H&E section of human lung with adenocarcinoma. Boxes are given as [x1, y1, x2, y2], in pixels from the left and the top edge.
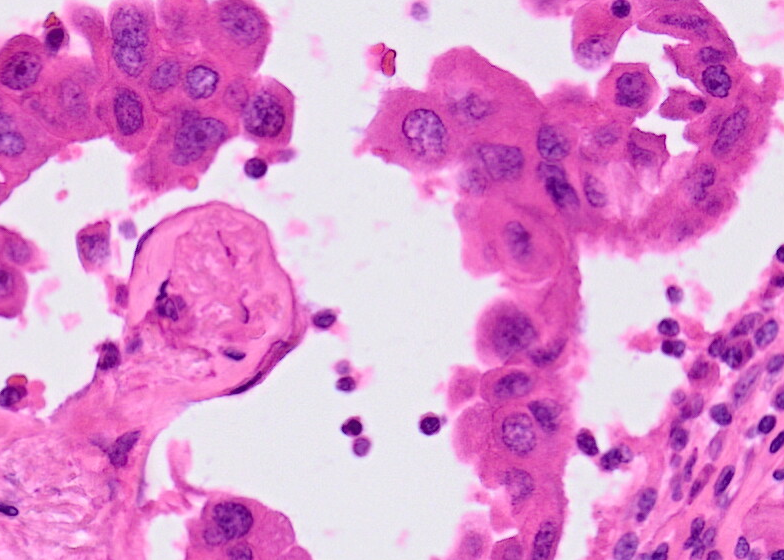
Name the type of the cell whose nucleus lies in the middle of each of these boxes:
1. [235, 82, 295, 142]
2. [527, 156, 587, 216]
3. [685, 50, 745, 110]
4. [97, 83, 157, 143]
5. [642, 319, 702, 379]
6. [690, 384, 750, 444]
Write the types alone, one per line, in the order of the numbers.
carcinoma cell
carcinoma cell
carcinoma cell
carcinoma cell
lymphocyte
lymphocyte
